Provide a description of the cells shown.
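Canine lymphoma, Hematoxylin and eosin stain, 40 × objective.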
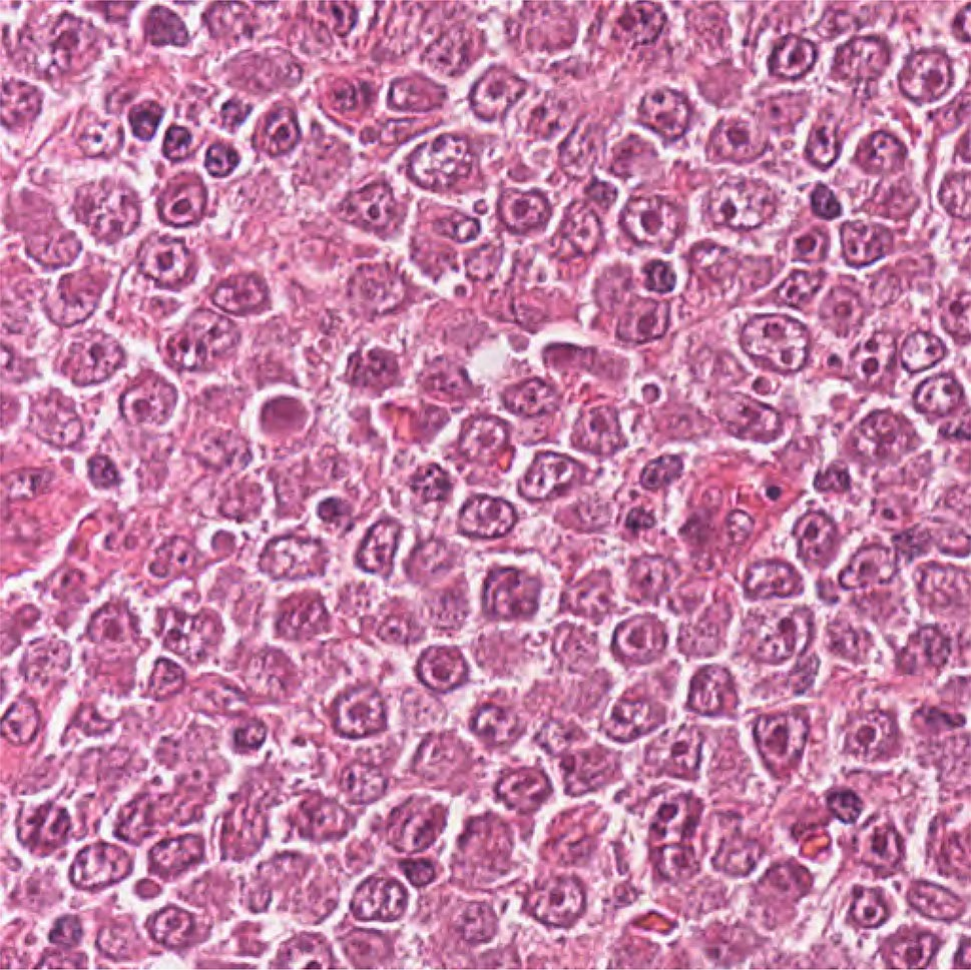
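This field shows a diffuse, monotonous sheet of neoplastic lymphocytes that wholly replaces the normal tissue pattern. No follicles or other organized structures are seen. Only a few small orange-red fragments are scattered among the cells, so there is little reference for judging cell size.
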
